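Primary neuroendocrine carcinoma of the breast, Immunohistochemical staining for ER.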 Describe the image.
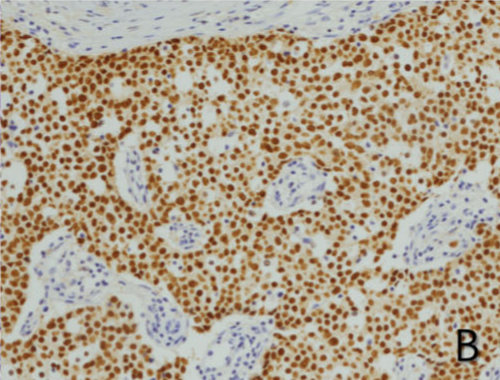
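Almost every tumor cell nucleus in the nests is stained, while the cytoplasm remains pale. Between the nests run bands of fibrous stroma containing spindle-shaped cells and small vessels whose elongated nuclei are blue and unstained, giving a sharp contrast between the brown epithelial nests and the blue stroma.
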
